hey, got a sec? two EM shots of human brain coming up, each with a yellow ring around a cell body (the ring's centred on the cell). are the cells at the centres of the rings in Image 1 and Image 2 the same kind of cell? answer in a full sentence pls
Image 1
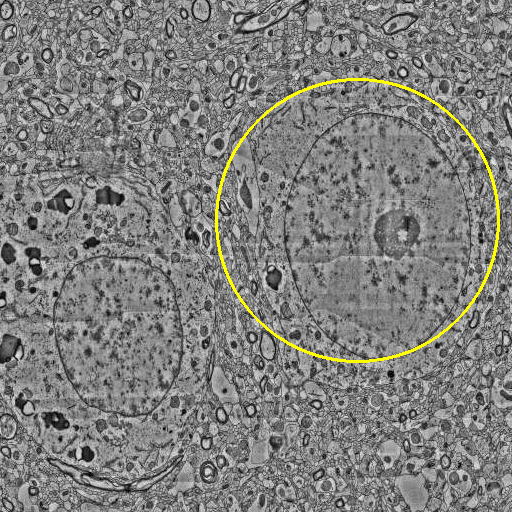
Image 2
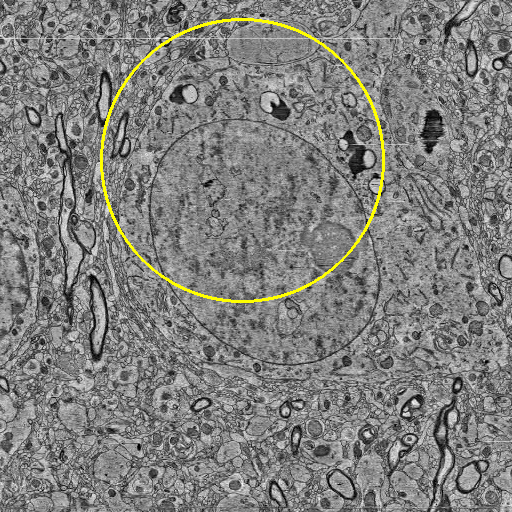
Yes, both are the same kind of cell.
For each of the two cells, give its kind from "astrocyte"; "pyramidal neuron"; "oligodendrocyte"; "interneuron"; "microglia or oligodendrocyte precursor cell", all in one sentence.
Both rings mark a pyramidal neuron, one in each picture.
